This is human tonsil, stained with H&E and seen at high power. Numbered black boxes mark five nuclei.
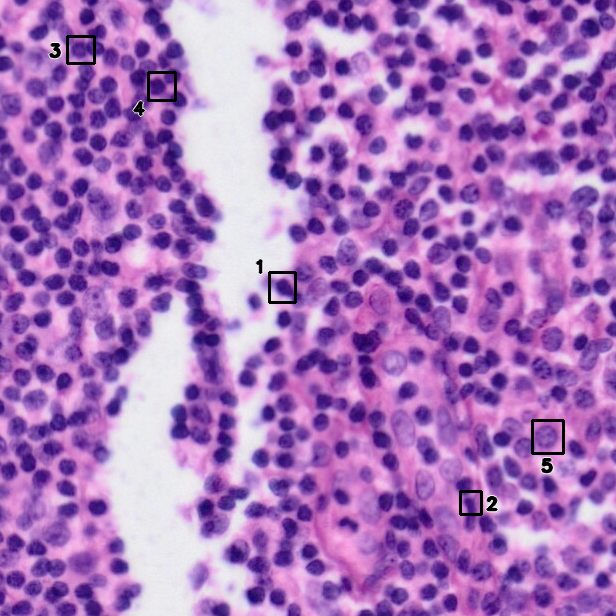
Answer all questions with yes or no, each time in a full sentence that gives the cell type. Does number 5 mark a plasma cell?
Yes, the cell referred to as number 5 is a plasma cell.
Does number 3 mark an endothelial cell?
No, cell 3 is classified as a small lymphocyte rather than an endothelial cell.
